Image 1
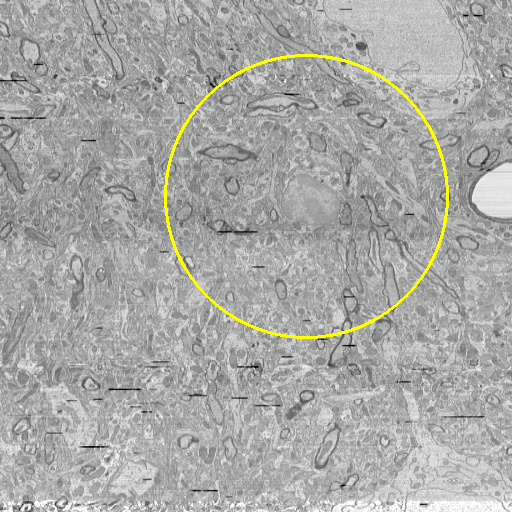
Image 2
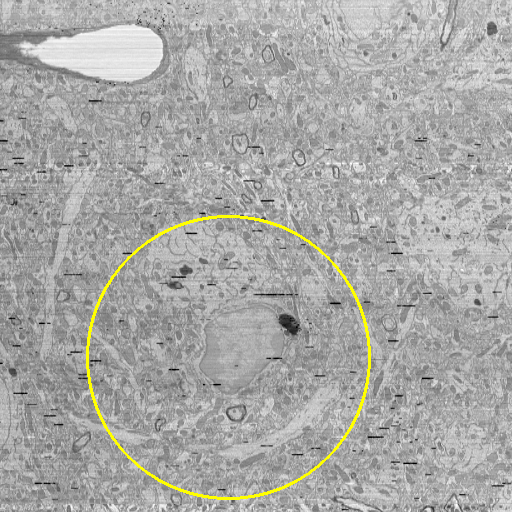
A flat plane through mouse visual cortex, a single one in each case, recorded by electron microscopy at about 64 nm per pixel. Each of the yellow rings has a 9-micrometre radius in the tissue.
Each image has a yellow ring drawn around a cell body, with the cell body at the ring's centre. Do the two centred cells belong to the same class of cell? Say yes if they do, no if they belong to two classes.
yes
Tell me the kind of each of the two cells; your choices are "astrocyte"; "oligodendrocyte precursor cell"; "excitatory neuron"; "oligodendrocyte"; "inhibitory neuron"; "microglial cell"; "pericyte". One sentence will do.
In the first picture and in the second, the ring is centred on a microglial cell.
